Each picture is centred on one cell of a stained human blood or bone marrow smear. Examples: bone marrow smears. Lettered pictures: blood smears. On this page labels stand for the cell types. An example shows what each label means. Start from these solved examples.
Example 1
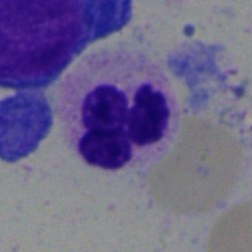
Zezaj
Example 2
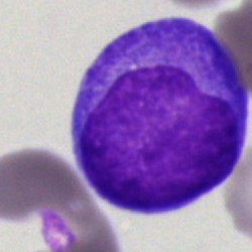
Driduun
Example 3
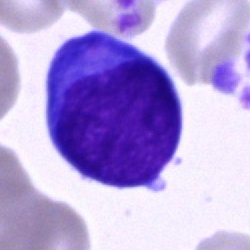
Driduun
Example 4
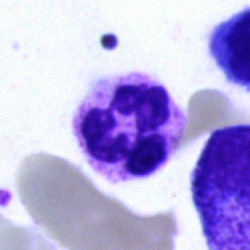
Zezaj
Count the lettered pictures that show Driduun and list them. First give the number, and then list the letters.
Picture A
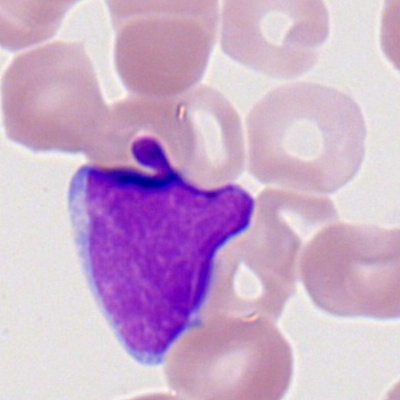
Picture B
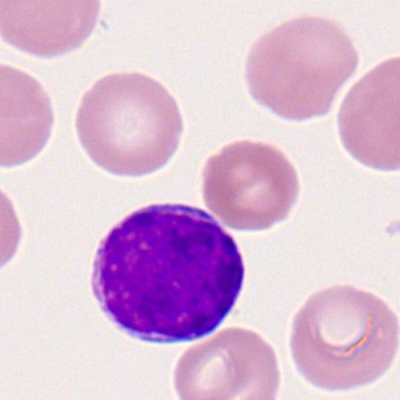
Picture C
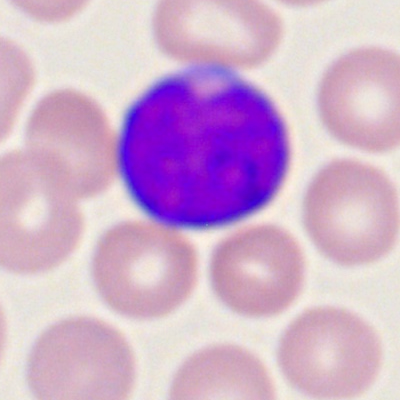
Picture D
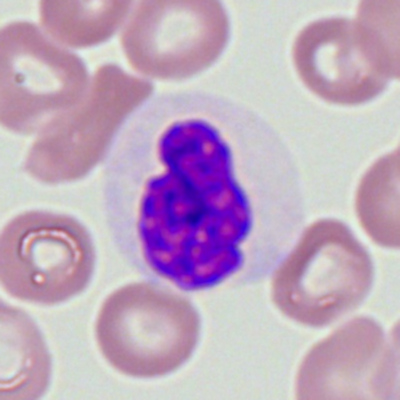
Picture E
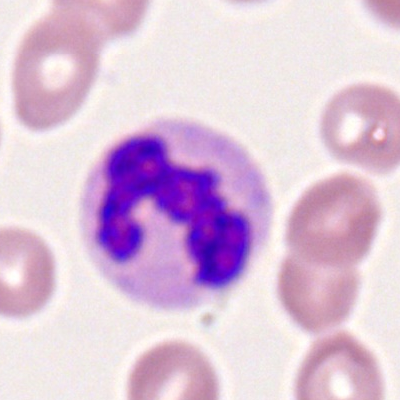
Count: 3 (A, B, C)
